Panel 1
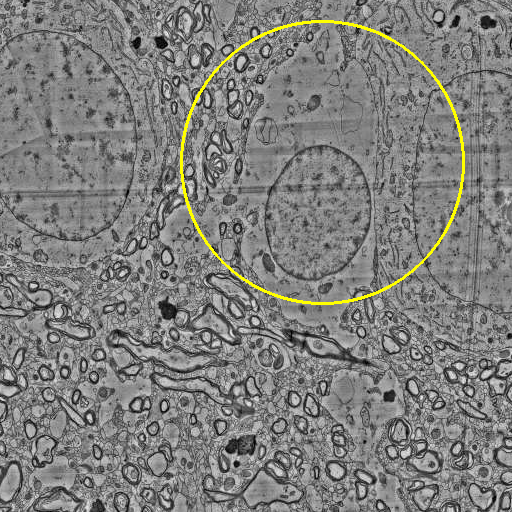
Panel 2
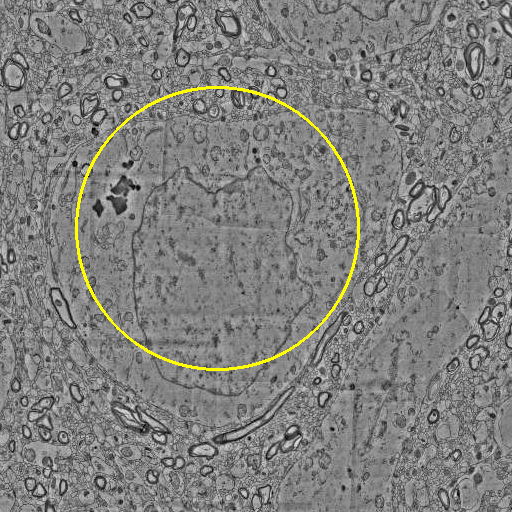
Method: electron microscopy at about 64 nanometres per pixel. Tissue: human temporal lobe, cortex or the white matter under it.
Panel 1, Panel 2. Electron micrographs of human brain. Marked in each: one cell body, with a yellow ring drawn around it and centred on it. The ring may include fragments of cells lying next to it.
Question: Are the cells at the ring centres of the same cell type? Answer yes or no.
no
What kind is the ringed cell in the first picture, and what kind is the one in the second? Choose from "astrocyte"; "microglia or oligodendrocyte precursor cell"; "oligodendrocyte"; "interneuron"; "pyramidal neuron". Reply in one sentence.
The first cell is an astrocyte; the second is a pyramidal neuron.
